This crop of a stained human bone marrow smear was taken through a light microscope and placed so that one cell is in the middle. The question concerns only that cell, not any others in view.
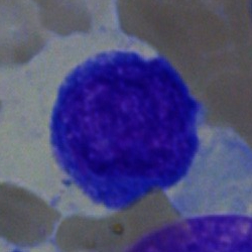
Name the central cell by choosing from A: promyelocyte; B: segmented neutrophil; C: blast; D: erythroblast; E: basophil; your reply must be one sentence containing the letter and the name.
With the cell in the middle being a blast, option C is the correct choice.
